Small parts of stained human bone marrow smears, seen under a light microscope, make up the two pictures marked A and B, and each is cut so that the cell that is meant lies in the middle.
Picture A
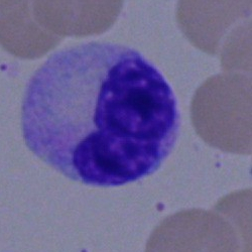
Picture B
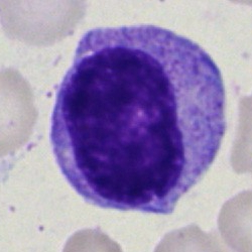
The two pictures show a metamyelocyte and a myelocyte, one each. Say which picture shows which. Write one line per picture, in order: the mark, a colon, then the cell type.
A: metamyelocyte
B: myelocyte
